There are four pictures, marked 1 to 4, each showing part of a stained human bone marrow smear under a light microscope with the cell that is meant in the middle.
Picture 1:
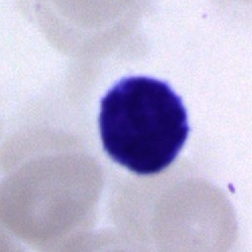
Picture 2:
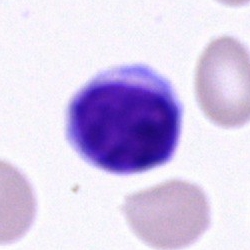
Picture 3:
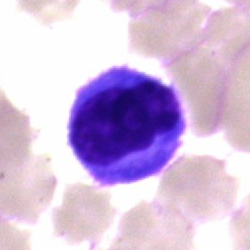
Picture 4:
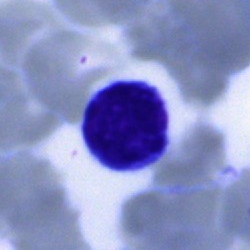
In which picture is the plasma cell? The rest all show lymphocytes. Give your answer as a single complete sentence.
Picture 3 is the one that shows the plasma cell.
